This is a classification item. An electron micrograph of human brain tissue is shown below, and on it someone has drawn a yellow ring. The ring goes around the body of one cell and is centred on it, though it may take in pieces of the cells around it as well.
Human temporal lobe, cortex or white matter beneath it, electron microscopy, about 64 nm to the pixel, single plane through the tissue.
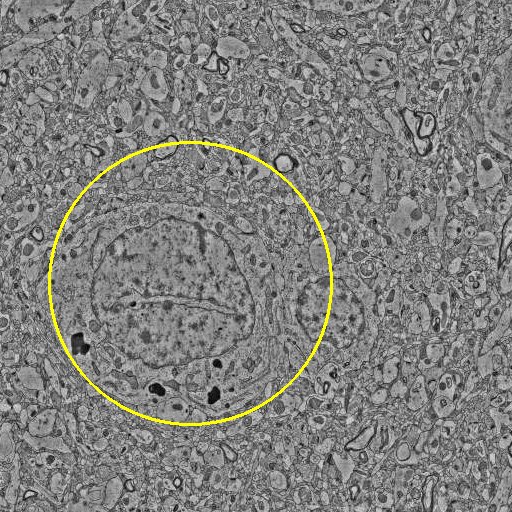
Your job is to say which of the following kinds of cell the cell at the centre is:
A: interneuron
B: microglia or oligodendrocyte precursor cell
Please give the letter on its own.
A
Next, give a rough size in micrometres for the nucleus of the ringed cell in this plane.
In this plane, the nucleus of the cell at the centre of the ring is about 10 micrometres across.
